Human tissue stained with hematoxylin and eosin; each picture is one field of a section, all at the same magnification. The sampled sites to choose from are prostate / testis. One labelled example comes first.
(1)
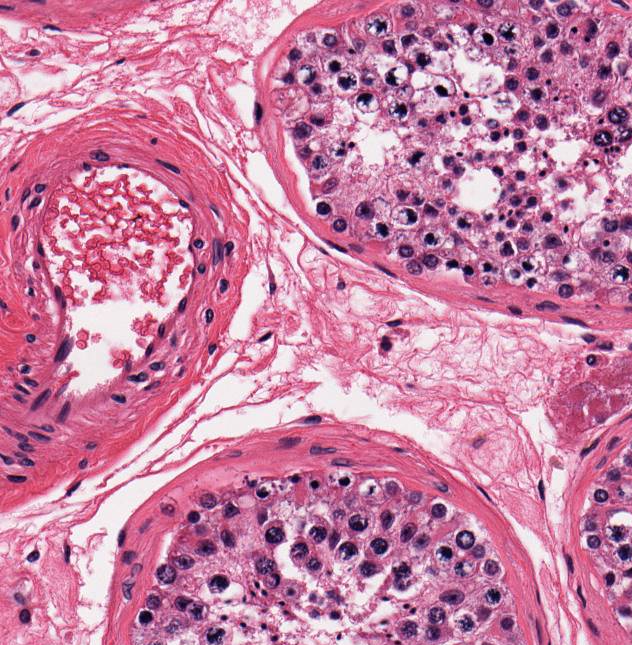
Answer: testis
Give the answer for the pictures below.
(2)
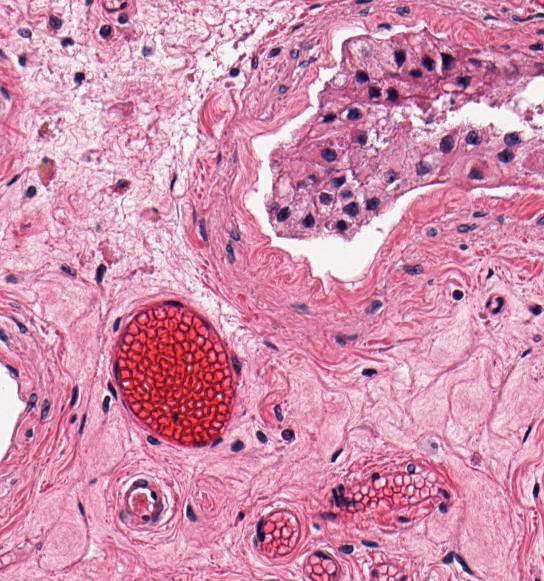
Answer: testis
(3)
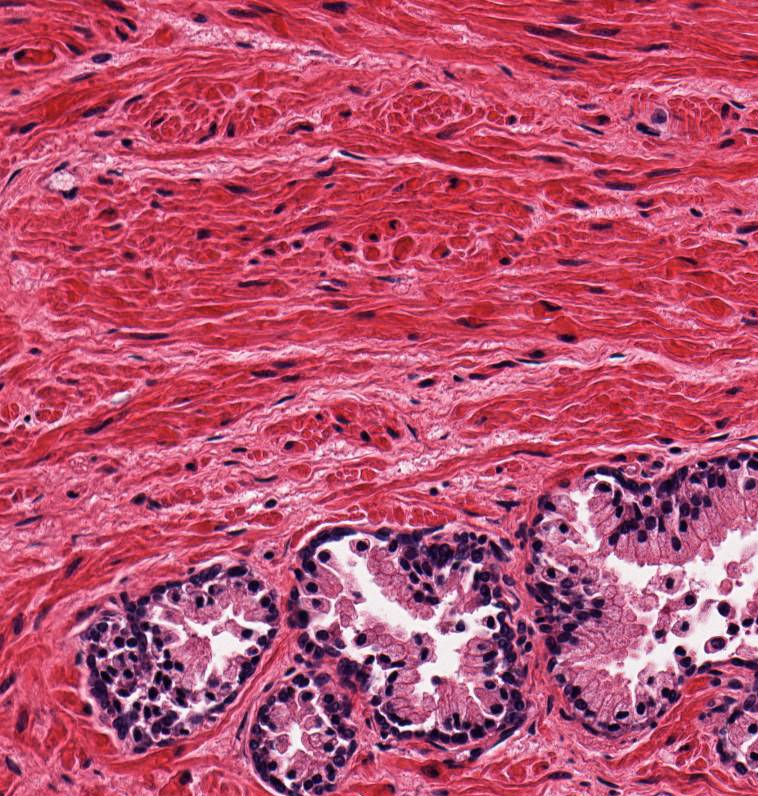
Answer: prostate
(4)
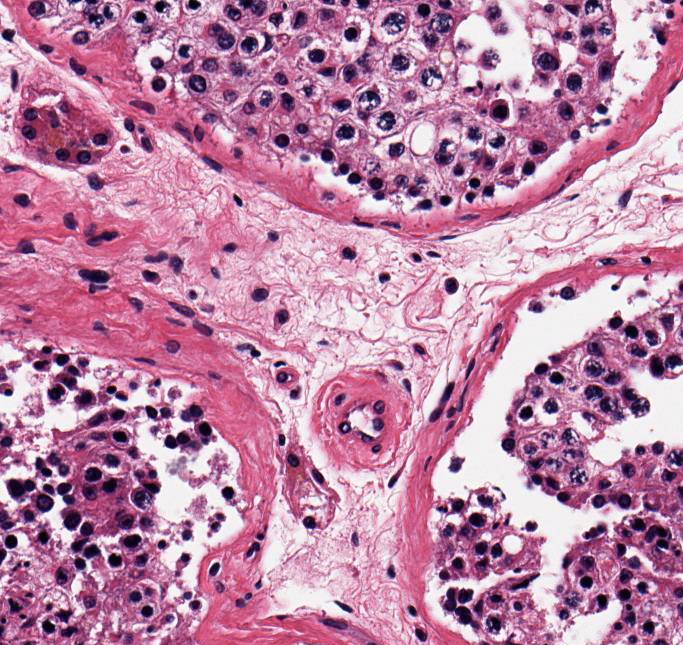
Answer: testis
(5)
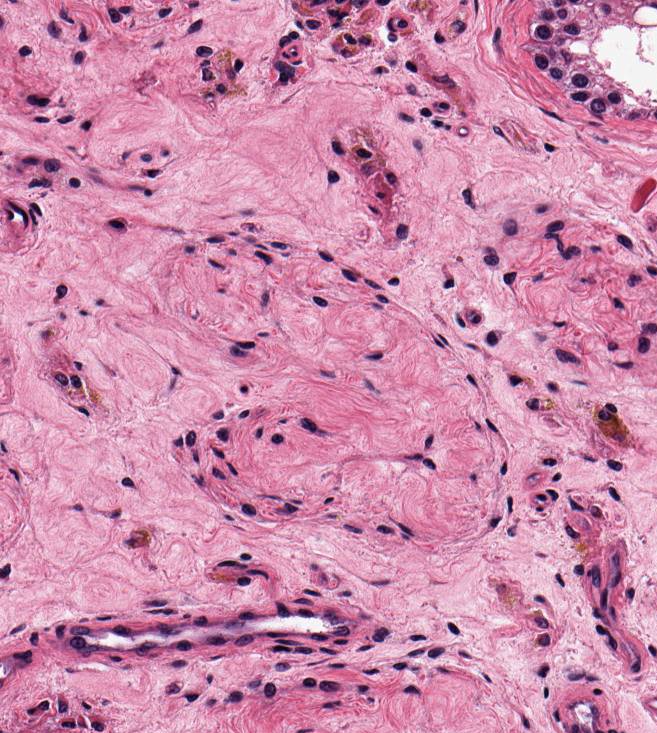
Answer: testis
